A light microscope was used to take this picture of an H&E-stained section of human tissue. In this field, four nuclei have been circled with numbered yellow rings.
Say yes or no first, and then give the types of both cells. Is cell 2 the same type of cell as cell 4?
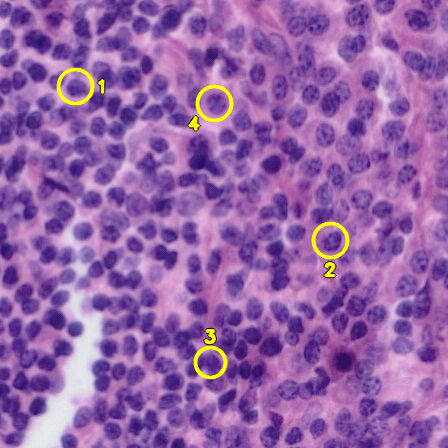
Yes, both are plasma cells.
